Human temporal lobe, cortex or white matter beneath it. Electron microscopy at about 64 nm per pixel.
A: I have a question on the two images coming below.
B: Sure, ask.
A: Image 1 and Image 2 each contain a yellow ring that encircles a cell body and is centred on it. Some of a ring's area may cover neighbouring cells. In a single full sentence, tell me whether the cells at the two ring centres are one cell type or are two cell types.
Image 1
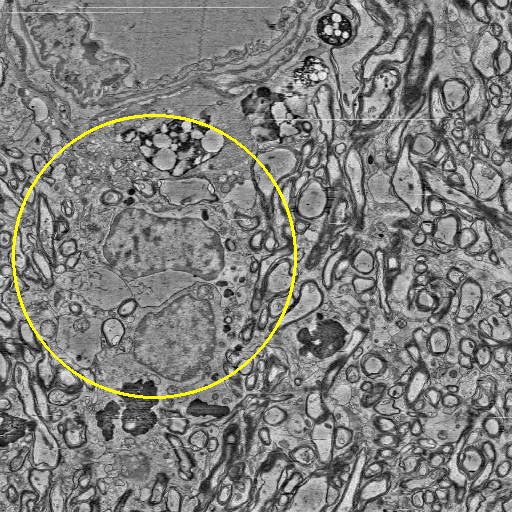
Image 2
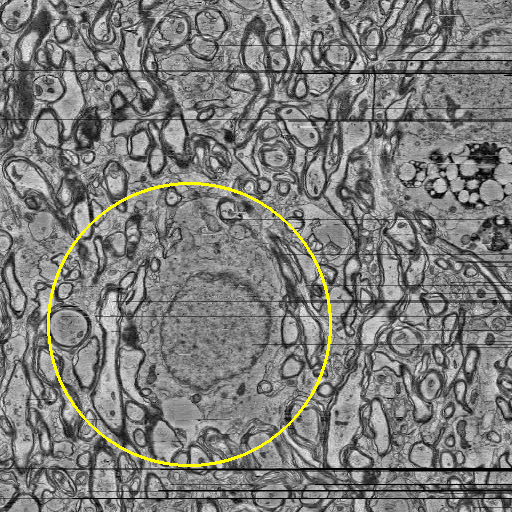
As for the ring-centre cells, the one in Image 1 and the one in Image 2 are two cell types.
